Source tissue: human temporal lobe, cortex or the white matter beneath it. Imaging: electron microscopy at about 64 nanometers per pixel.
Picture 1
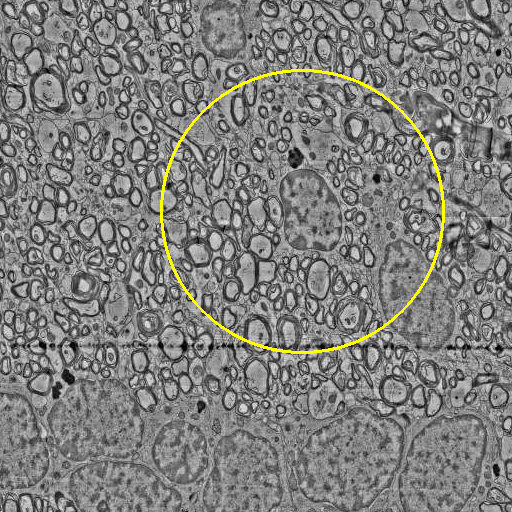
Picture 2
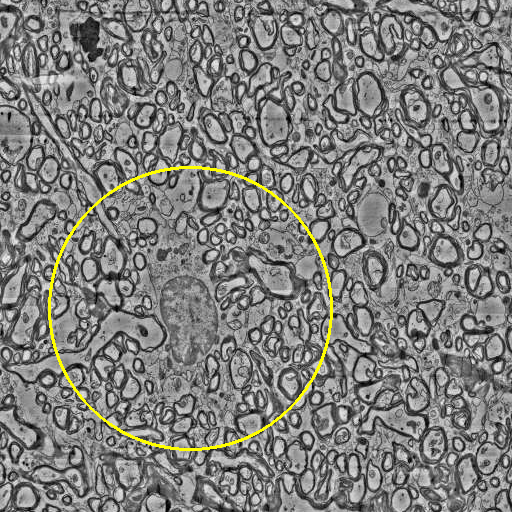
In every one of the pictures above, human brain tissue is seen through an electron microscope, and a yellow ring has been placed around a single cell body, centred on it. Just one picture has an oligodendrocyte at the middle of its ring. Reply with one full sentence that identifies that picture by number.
It is picture 2 that shows the wanted cell at its ring's centre.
